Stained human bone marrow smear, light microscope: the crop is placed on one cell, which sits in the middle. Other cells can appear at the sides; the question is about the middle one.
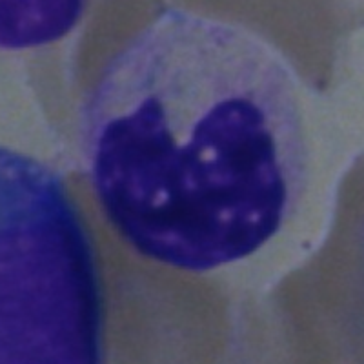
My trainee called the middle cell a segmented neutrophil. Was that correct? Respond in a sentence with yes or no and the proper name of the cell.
No, the cell occupying the centre is a band neutrophil, not a segmented neutrophil.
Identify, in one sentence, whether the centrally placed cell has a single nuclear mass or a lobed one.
One compact mass makes up the whole nucleus, round, oval or kidney-shaped.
